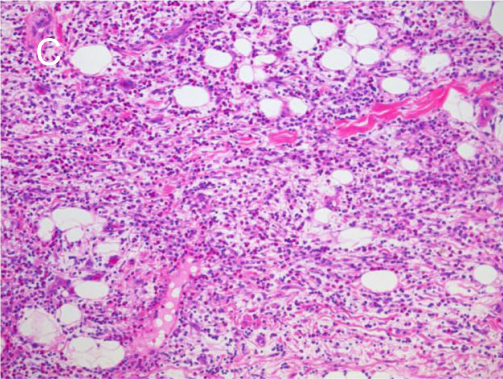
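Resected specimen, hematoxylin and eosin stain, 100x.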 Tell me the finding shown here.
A: marked inflammation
